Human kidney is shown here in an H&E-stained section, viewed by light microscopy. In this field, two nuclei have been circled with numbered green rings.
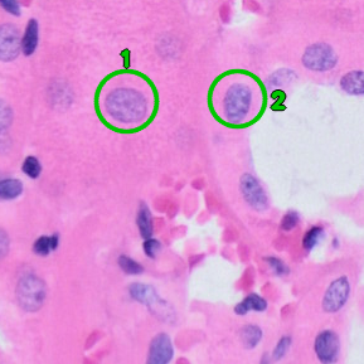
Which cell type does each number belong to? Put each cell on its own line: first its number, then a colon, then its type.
1: proximal tubule cell
2: loop of Henle or distal tubule cell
